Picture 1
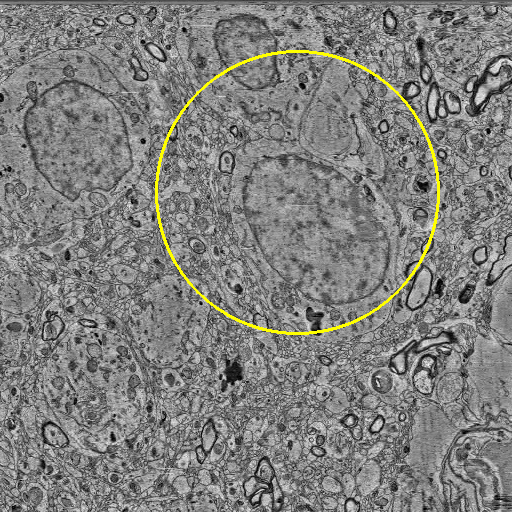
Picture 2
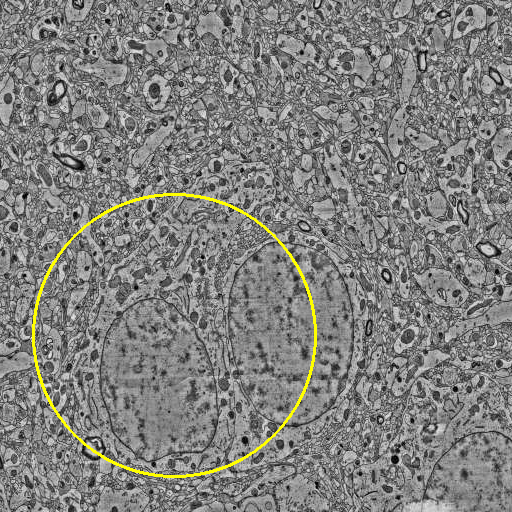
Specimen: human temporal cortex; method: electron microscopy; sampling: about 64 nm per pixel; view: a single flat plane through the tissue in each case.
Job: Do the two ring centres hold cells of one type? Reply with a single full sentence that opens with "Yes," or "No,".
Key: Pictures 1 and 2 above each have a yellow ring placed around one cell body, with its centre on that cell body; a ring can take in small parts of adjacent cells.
No, the cells at the two ring centres are of two separate types.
